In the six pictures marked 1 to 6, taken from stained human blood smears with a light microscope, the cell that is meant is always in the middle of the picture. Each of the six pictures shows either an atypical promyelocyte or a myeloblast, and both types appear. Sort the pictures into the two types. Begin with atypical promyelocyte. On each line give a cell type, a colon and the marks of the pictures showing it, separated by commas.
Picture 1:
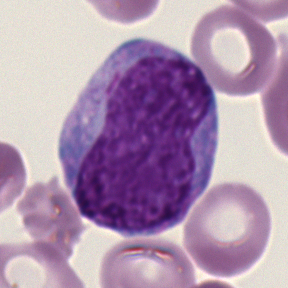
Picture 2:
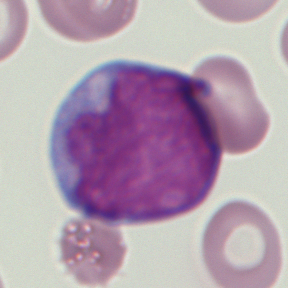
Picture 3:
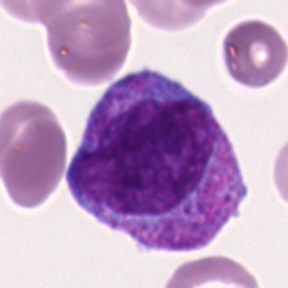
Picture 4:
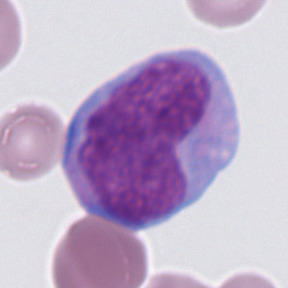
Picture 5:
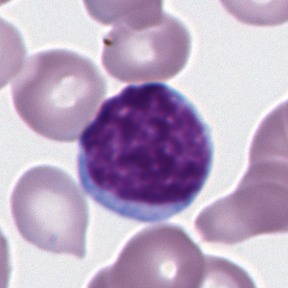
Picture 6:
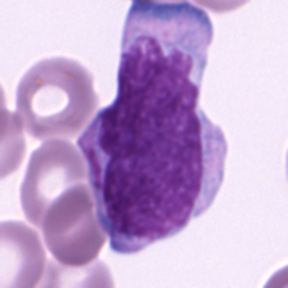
atypical promyelocyte: 1, 3, 4, 6
myeloblast: 2, 5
